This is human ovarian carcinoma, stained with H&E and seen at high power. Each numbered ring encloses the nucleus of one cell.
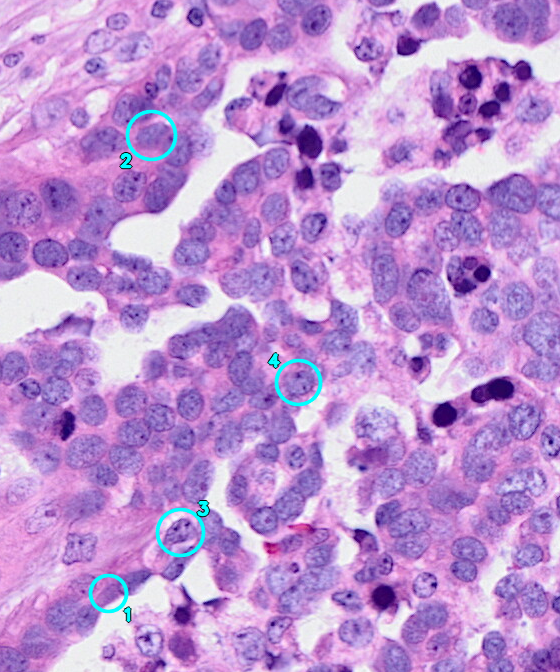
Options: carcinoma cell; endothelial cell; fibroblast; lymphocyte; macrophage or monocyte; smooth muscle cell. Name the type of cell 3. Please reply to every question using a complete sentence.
The cell indicated with the number 3 is classed as a macrophage or monocyte.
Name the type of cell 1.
In the marked set, the cell given number 1 is a carcinoma cell.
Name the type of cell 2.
The marked nucleus 2 is that of a carcinoma cell.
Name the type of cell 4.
The cell that is numbered 4 is a carcinoma cell.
